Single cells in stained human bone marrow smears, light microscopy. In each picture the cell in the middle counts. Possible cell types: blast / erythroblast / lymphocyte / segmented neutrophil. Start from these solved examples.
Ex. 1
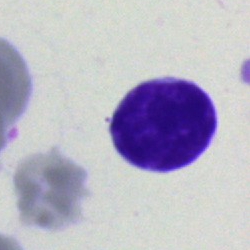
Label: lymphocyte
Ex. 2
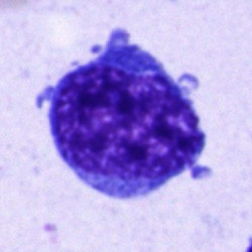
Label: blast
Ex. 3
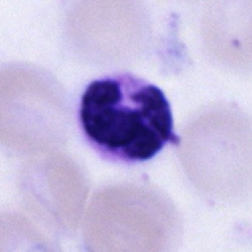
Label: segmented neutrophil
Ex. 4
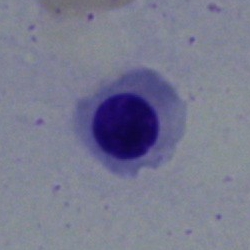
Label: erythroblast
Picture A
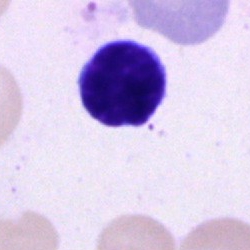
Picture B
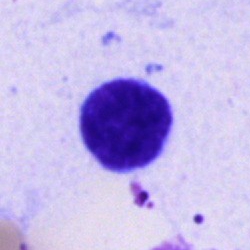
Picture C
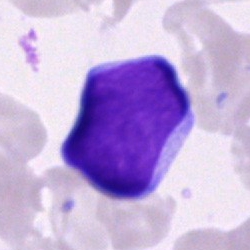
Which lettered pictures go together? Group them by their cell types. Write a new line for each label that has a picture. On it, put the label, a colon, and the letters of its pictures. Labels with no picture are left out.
blast: C
lymphocyte: A, B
